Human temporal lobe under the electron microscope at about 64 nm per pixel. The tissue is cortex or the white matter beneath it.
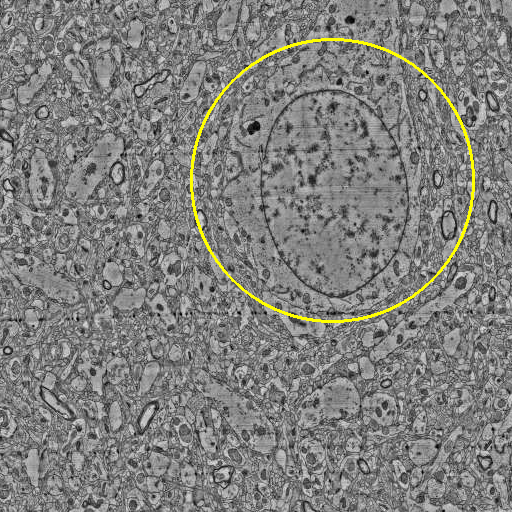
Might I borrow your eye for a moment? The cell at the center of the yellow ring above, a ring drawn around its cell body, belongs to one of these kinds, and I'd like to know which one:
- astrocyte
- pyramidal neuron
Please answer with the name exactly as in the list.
pyramidal neuron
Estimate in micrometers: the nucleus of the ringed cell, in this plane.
In this plane, the nucleus is roughly 13 by 9 micrometres.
